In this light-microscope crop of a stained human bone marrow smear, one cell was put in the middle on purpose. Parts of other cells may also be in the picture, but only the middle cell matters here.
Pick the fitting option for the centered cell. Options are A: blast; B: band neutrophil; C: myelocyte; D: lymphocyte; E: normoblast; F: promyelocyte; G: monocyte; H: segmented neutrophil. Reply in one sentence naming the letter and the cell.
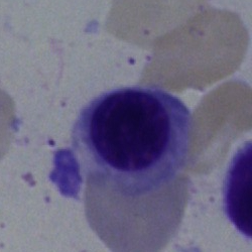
What option E states is correct, the central cell being a normoblast.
